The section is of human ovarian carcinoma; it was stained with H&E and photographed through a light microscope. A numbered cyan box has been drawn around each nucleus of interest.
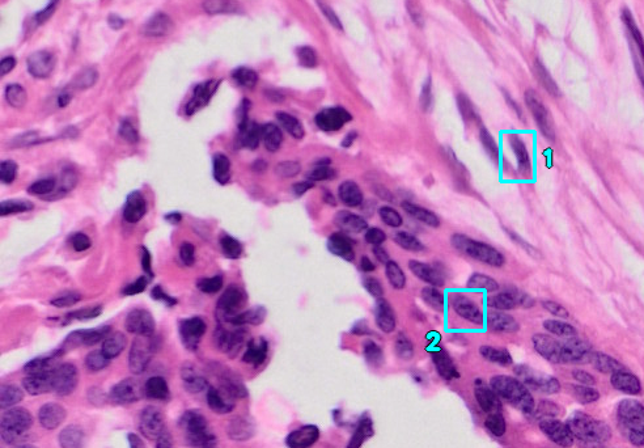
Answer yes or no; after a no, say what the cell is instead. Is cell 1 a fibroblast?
Yes.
